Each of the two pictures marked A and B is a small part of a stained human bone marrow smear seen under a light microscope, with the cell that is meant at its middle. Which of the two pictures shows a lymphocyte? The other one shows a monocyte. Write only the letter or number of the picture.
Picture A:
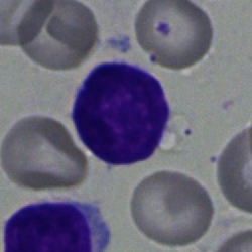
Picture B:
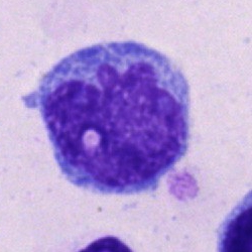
A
